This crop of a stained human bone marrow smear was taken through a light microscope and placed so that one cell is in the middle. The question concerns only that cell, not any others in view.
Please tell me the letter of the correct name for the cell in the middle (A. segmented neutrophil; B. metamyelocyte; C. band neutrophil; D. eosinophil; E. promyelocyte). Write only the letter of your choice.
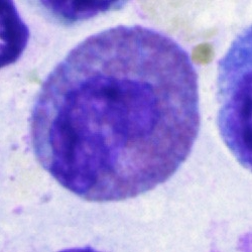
D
